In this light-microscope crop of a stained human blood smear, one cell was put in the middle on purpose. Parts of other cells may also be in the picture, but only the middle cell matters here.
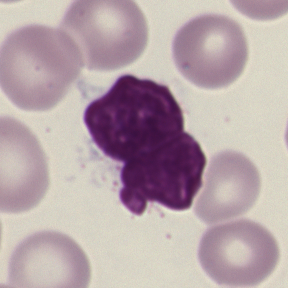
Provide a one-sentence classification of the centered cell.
Within this crop, a smudge cell occupies the central position.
